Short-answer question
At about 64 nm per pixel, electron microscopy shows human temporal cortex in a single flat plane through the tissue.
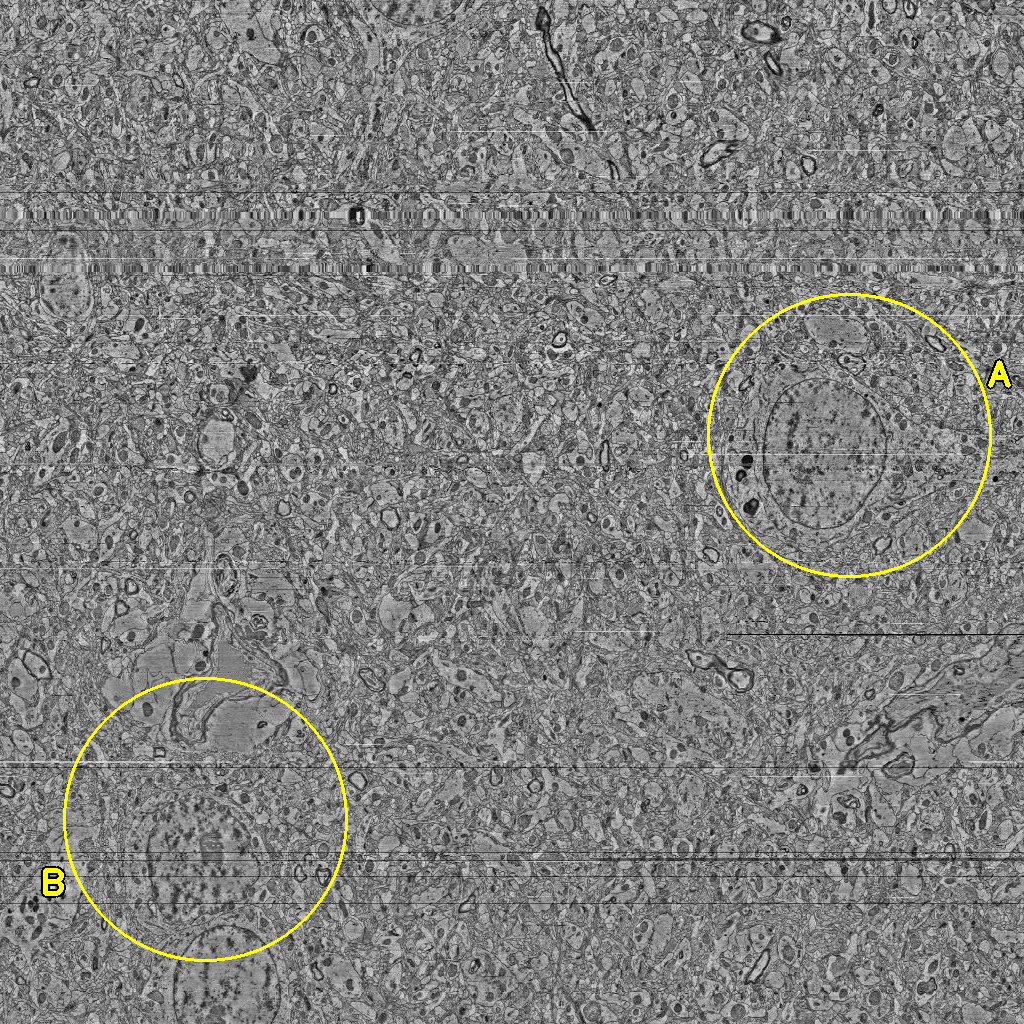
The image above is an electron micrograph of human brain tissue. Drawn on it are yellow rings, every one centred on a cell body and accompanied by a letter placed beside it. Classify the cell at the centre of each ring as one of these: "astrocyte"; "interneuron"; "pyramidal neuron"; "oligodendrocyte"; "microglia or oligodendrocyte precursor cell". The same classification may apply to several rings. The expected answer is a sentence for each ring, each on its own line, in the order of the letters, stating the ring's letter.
The cell at ring A is classified as a pyramidal neuron.
The cell at ring B is classified as an interneuron.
